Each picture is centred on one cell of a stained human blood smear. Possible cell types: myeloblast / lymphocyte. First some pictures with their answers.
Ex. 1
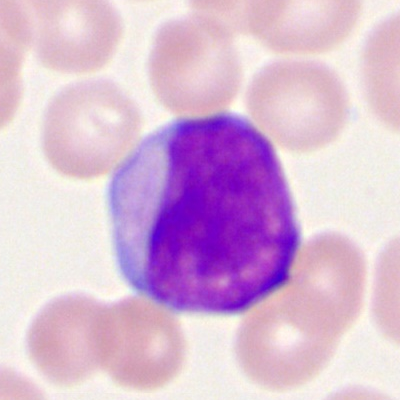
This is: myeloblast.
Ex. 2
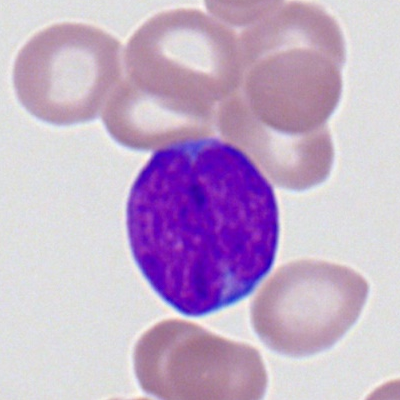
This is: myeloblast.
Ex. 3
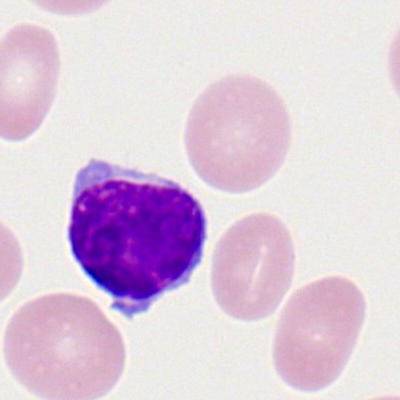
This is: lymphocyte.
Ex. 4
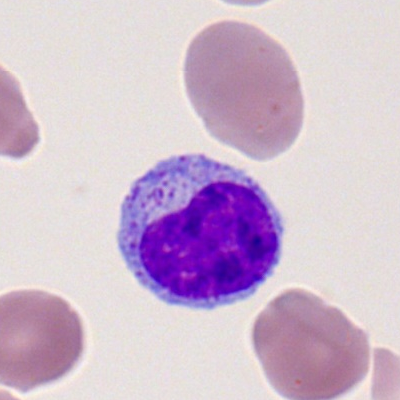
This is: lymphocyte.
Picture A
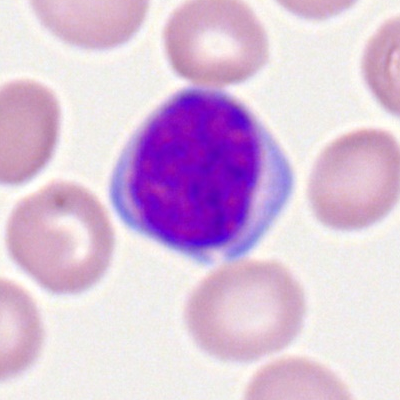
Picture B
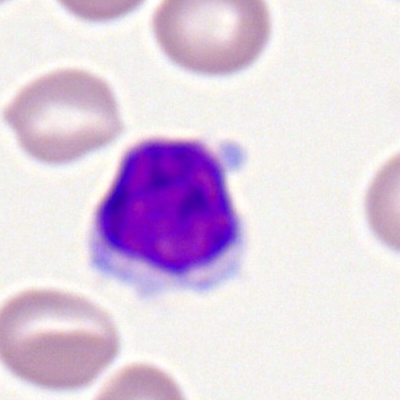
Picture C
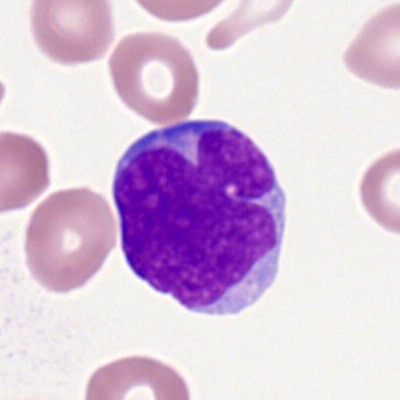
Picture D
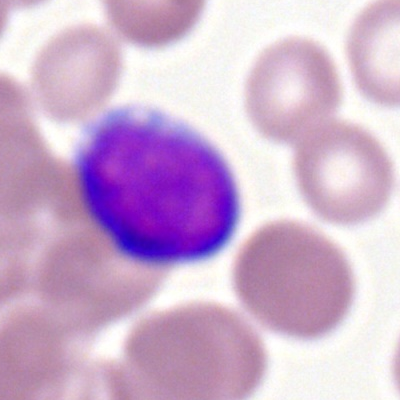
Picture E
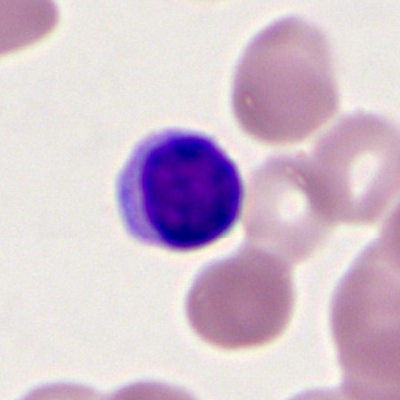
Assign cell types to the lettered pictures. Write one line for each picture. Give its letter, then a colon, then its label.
A: lymphocyte.
B: lymphocyte.
C: myeloblast.
D: myeloblast.
E: lymphocyte.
